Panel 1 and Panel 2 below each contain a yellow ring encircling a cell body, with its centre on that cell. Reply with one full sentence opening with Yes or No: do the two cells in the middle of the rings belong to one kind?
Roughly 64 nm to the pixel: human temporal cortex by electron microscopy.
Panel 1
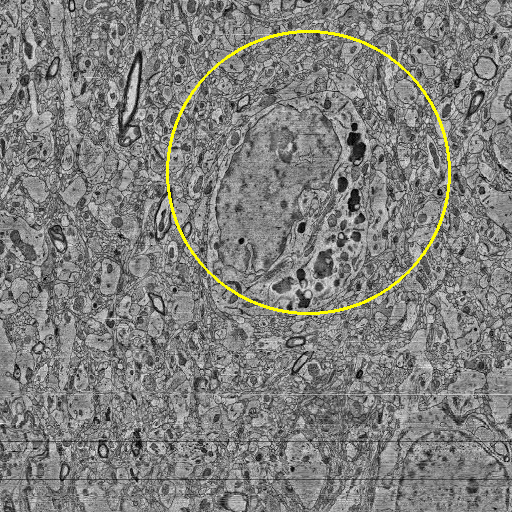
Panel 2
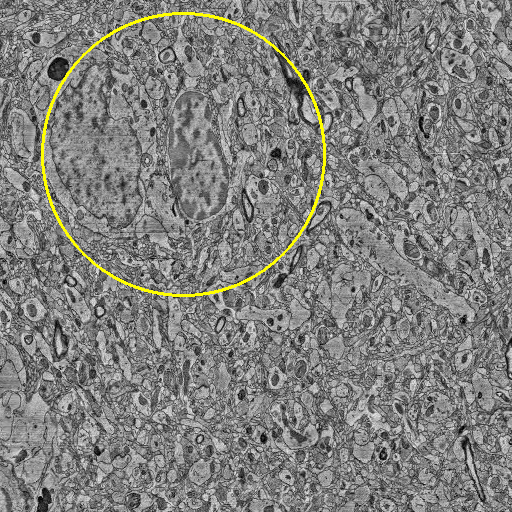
No, the cells at the middle of the Panel 1 ring and the Panel 2 ring are of two kinds.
